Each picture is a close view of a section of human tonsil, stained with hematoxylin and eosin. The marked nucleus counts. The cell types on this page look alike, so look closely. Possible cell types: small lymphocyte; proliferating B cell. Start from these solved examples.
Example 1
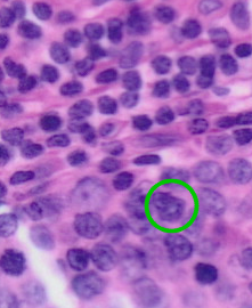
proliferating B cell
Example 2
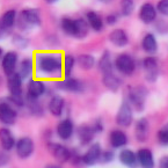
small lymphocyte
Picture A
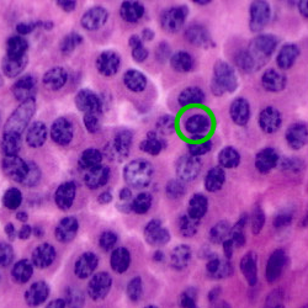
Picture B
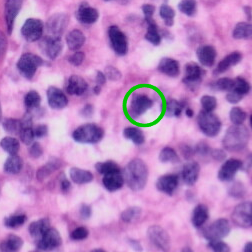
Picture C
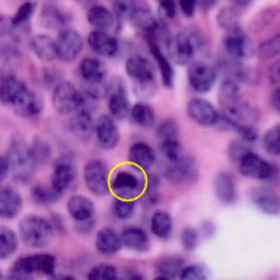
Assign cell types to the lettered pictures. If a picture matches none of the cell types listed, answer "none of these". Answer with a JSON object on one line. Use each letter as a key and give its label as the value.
{"A": "none of these", "B": "proliferating B cell", "C": "small lymphocyte"}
